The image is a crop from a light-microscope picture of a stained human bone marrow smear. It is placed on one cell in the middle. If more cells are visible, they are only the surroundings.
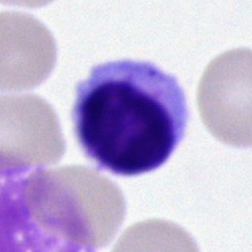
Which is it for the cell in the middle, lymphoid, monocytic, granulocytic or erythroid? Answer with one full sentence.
The middle cell of the crop belongs with the cells of the lymphoid lineage.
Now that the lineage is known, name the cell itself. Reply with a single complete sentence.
The cell found in the middle of this crop is a lymphocyte.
